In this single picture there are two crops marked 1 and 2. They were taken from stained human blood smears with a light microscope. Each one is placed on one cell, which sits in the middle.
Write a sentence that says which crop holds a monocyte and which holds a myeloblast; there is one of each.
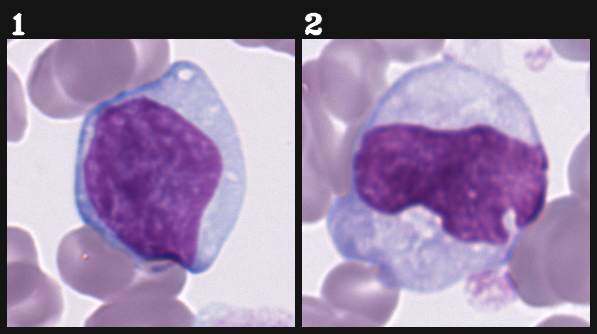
Crop 1 is a myeloblast, and crop 2 is a monocyte.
